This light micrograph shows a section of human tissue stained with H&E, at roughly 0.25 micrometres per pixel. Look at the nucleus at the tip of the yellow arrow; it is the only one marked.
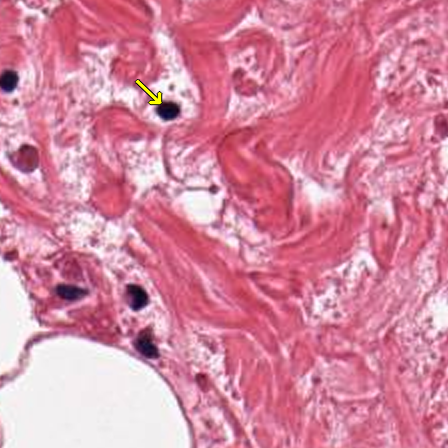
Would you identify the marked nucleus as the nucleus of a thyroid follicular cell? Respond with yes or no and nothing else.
no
